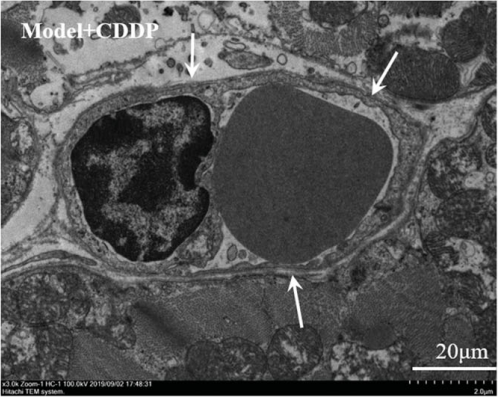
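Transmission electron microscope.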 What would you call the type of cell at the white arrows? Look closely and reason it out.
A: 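The arrows point to a thin continuous lining around a vessel lumen. The lumen holds a red blood cell and a nucleated cell.
Answer: endothelial cells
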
